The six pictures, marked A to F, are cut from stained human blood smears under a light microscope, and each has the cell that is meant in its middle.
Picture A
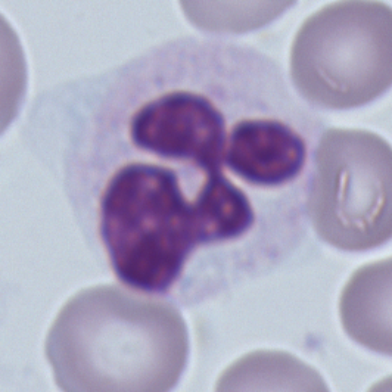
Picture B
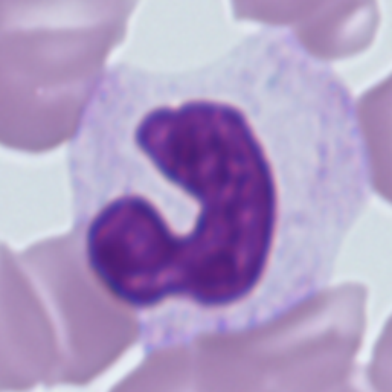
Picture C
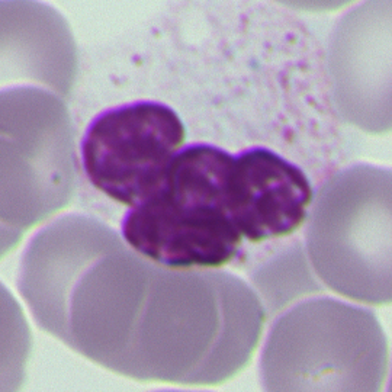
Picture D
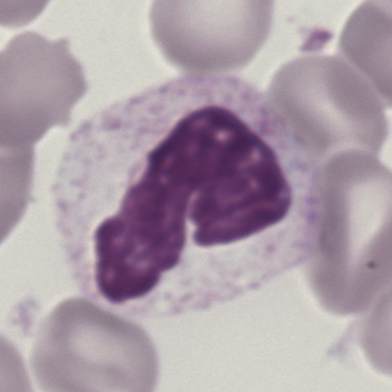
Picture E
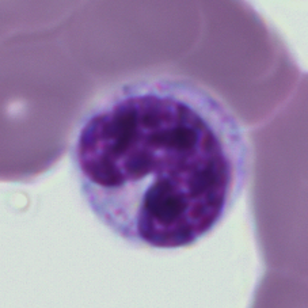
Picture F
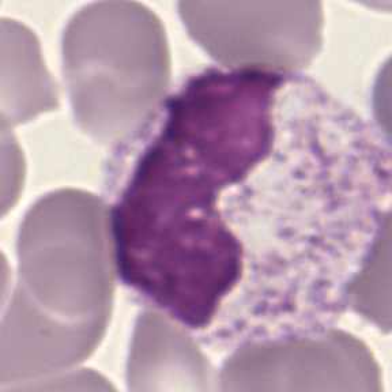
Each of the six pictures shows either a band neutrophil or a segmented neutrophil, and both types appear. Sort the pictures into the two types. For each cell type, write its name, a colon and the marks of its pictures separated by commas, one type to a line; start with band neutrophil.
band neutrophil: B, D, E, F
segmented neutrophil: A, C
